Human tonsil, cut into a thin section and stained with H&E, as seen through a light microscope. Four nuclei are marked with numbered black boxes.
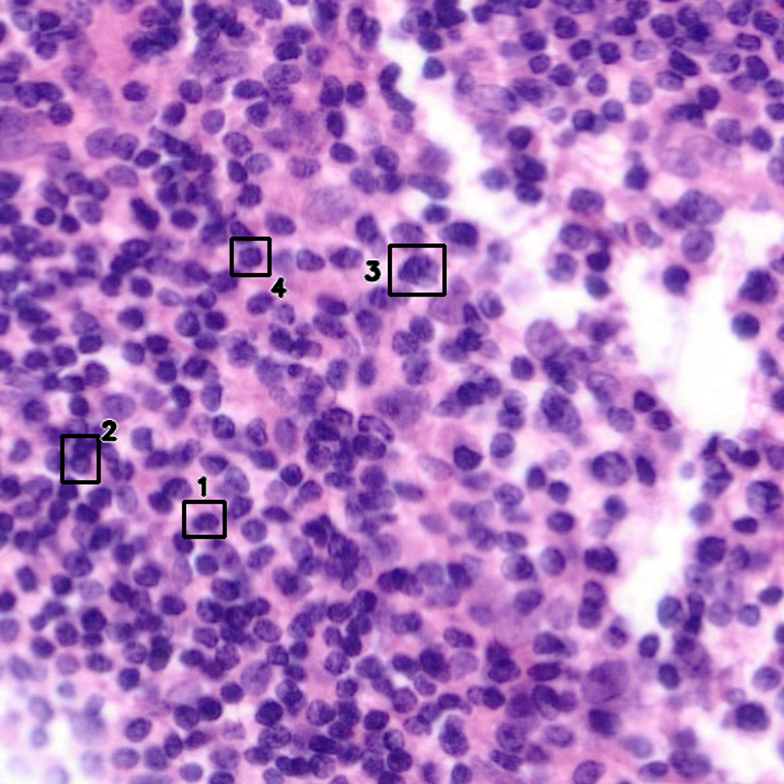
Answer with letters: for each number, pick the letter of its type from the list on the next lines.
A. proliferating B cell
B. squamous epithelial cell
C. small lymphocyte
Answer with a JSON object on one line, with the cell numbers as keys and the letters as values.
{"1": "C", "2": "C", "3": "A", "4": "C"}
